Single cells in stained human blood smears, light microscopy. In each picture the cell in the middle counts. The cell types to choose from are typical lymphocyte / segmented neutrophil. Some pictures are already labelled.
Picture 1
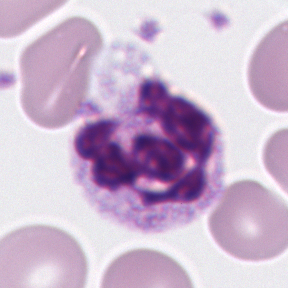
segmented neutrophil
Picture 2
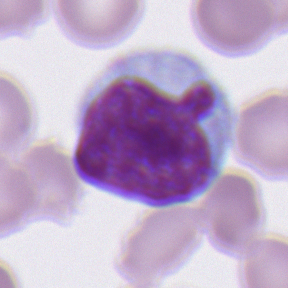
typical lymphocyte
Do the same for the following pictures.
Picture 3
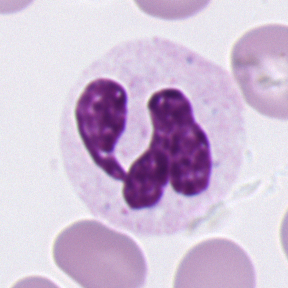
segmented neutrophil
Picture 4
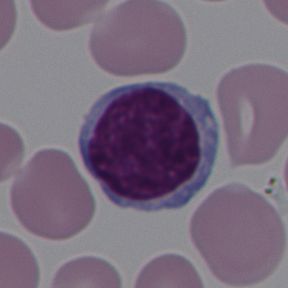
typical lymphocyte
